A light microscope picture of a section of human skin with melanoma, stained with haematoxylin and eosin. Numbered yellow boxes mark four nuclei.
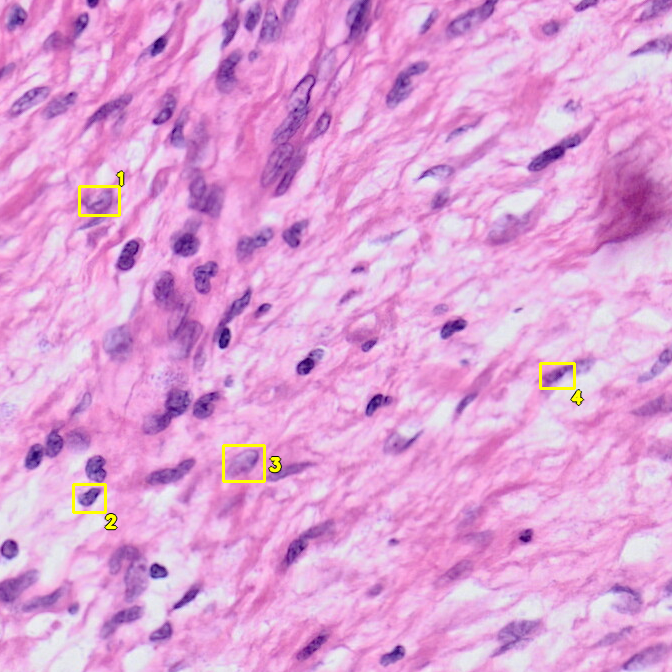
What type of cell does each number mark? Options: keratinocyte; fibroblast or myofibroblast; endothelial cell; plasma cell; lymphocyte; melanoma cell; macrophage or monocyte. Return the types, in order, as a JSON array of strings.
["fibroblast or myofibroblast", "lymphocyte", "fibroblast or myofibroblast", "fibroblast or myofibroblast"]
